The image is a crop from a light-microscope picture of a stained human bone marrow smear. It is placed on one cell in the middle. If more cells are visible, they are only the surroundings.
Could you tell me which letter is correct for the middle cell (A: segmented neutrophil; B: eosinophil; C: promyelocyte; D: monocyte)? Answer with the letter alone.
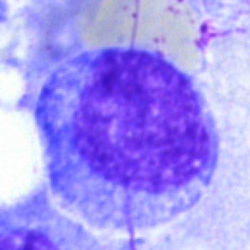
C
